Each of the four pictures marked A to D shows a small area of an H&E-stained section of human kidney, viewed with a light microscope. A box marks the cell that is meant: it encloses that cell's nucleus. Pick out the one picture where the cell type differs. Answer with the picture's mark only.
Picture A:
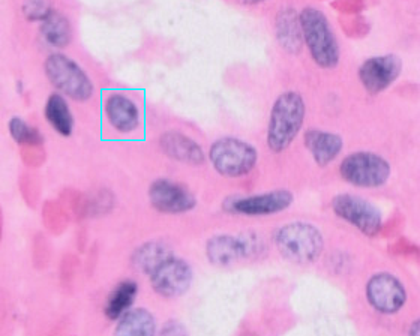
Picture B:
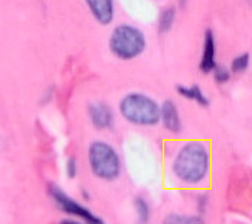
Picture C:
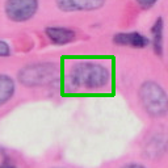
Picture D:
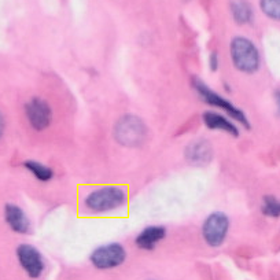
D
